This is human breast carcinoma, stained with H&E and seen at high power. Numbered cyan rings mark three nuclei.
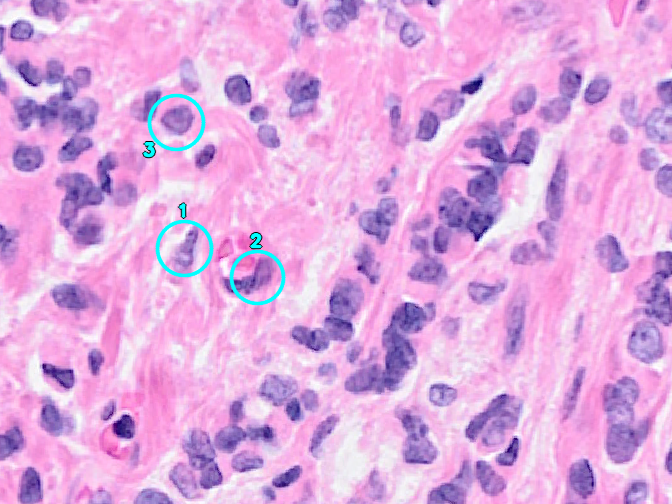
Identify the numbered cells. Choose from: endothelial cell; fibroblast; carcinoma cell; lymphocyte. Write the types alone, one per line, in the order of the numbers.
fibroblast
endothelial cell
carcinoma cell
